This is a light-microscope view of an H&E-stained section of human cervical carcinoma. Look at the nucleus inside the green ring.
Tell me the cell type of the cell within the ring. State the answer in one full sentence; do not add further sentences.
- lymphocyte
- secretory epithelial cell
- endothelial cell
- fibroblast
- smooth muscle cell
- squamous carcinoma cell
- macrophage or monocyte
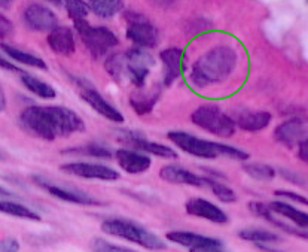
At the level of cell identity, the cell within the ring is a secretory epithelial cell.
